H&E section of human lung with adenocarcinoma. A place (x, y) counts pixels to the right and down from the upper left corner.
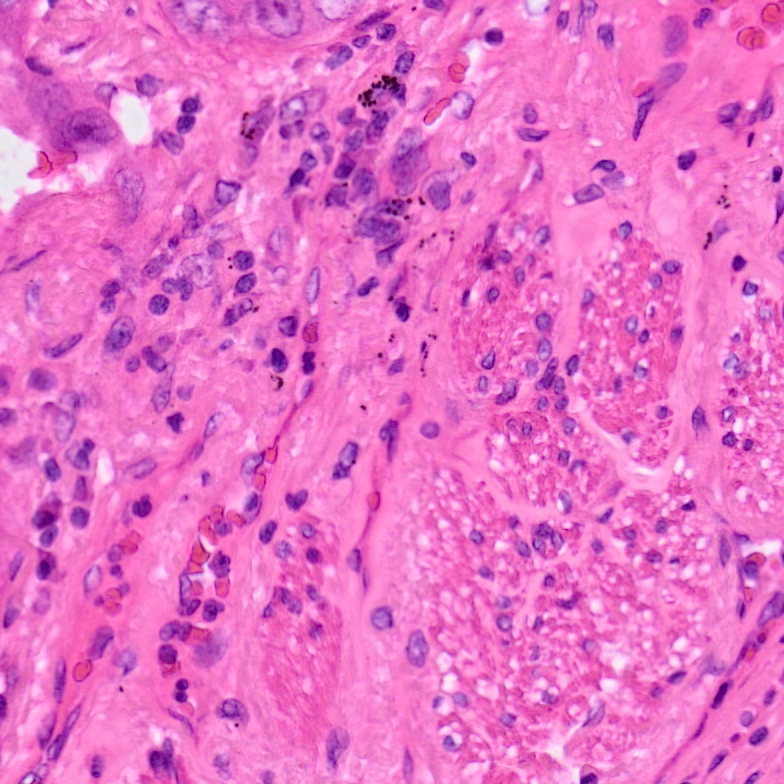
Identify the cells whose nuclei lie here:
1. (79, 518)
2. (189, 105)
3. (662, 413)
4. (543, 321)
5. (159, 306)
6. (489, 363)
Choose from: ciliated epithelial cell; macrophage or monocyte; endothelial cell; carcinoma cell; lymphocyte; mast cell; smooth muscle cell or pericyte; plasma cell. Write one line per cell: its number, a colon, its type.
1: lymphocyte
2: lymphocyte
3: smooth muscle cell or pericyte
4: smooth muscle cell or pericyte
5: lymphocyte
6: smooth muscle cell or pericyte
